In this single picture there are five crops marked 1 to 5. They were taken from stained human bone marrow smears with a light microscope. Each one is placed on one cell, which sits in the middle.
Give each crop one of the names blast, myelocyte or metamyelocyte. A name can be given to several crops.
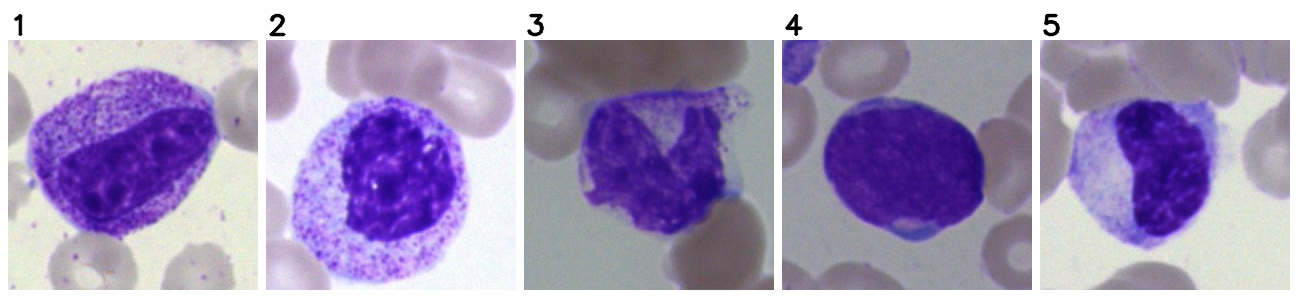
1: myelocyte
2: myelocyte
3: metamyelocyte
4: blast
5: metamyelocyte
